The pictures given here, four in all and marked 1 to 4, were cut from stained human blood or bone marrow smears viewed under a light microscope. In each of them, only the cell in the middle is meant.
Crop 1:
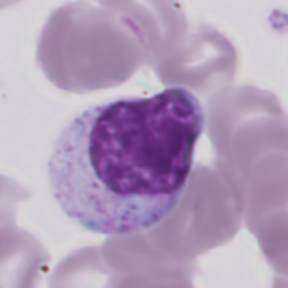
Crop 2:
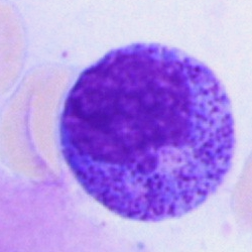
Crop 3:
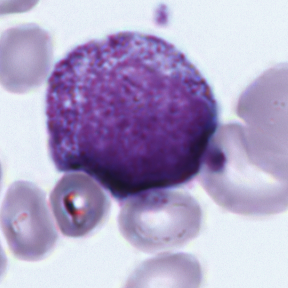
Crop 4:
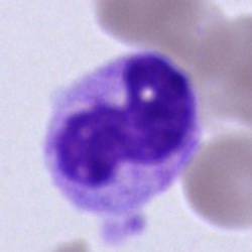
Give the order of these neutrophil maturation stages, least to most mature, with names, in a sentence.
Once sorted from least to most mature, the sequence is crop 2 (a promyelocyte), crop 3 (a myelocyte), crop 1 (a metamyelocyte) and crop 4 (a band neutrophil).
